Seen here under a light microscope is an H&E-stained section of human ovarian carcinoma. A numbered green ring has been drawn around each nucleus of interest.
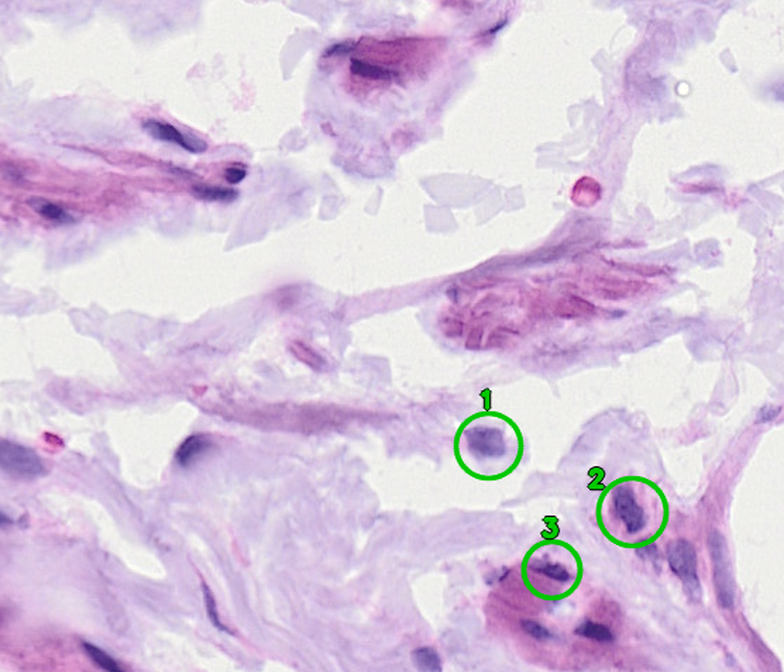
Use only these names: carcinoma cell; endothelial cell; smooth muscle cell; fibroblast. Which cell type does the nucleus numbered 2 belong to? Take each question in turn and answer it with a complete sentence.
Number 2 is placed on an endothelial cell here.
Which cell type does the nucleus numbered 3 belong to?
The label 3 in this section denotes a smooth muscle cell.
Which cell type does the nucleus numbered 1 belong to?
At number 1, the marked cell is a fibroblast.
